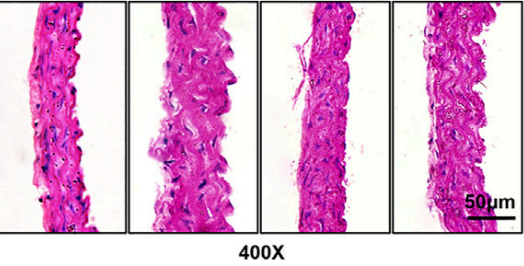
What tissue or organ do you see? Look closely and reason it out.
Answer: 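Each strip shows a band of pink tissue bounded by clear space on both sides. The band is made of wavy pink lamellae with elongated dark nuclei between them. The answer: aortic wall.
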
